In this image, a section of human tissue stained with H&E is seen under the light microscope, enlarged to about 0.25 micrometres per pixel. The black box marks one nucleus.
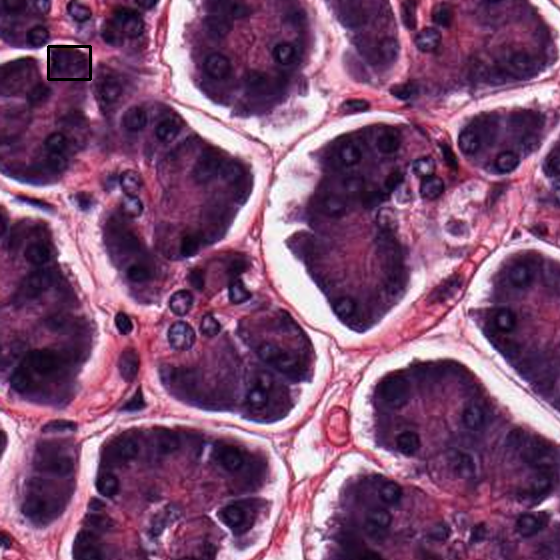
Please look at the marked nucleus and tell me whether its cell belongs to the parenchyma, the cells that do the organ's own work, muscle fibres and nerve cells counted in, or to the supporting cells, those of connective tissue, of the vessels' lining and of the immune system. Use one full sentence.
The marked nucleus is assigned to a parenchymal cell, namely a pancreatic acinar cell.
